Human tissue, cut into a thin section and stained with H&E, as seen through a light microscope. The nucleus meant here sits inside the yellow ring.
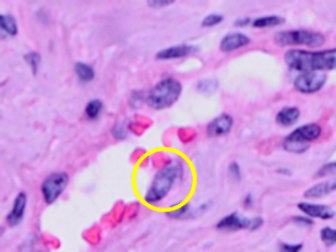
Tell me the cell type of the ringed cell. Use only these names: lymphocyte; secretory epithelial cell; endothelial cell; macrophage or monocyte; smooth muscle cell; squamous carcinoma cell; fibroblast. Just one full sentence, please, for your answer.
In the tissue under study, the ringed cell is an endothelial cell.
